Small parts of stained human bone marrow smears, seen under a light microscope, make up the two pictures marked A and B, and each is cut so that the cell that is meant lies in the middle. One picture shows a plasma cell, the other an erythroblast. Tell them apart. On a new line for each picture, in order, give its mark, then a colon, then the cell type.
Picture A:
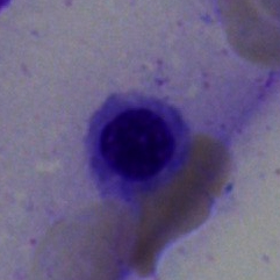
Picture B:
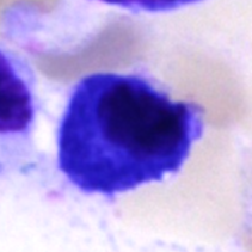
A: erythroblast
B: plasma cell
